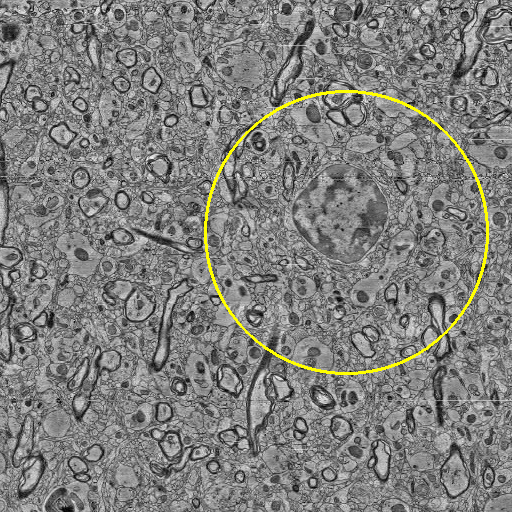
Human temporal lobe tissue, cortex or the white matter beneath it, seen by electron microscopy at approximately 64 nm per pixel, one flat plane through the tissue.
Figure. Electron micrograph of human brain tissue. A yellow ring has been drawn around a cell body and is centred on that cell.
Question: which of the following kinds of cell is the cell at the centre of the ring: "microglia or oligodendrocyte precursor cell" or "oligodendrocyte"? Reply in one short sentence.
The cell at the centre of the ring is a microglial cell or oligodendrocyte precursor cell.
